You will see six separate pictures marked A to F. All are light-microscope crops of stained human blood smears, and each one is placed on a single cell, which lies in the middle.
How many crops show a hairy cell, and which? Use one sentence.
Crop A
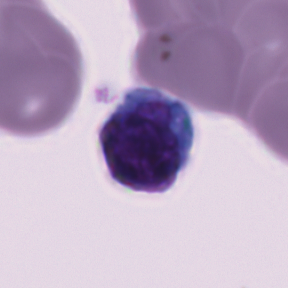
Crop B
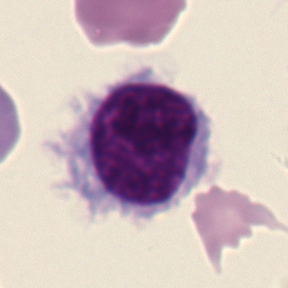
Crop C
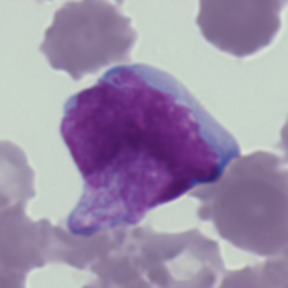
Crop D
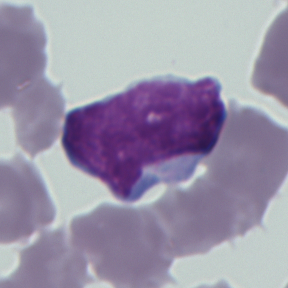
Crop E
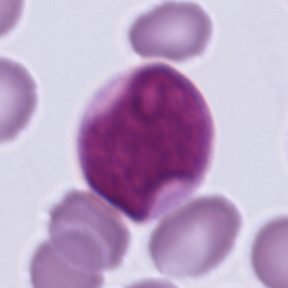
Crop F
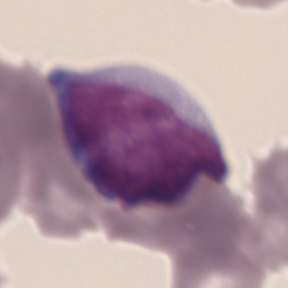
Of all the crops given, a hairy cell is shown by crop B alone, so the count is one.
